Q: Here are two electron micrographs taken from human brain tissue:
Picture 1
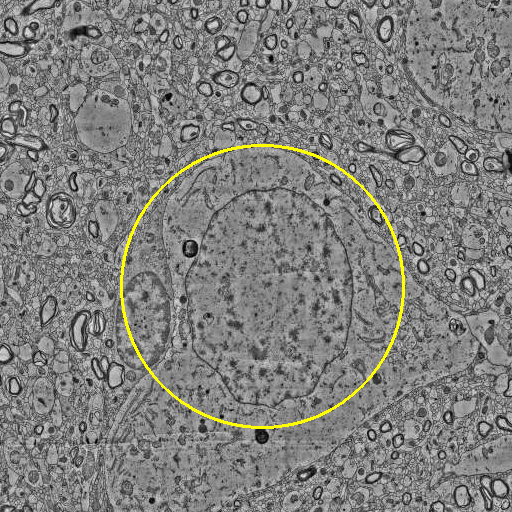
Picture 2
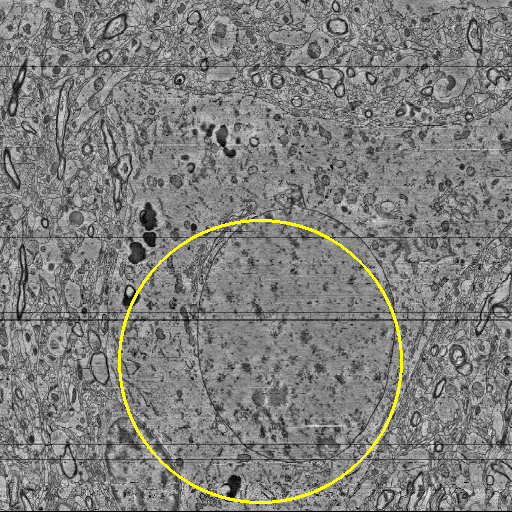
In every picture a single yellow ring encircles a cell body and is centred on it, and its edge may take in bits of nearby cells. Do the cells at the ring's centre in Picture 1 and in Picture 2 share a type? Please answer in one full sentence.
Yes, the cells at the ring's centre in Picture 1 and Picture 2 share a type.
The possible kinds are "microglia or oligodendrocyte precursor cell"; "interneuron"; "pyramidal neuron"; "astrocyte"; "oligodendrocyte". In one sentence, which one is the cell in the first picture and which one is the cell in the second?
The ring centre holds a pyramidal neuron in each of the two pictures.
